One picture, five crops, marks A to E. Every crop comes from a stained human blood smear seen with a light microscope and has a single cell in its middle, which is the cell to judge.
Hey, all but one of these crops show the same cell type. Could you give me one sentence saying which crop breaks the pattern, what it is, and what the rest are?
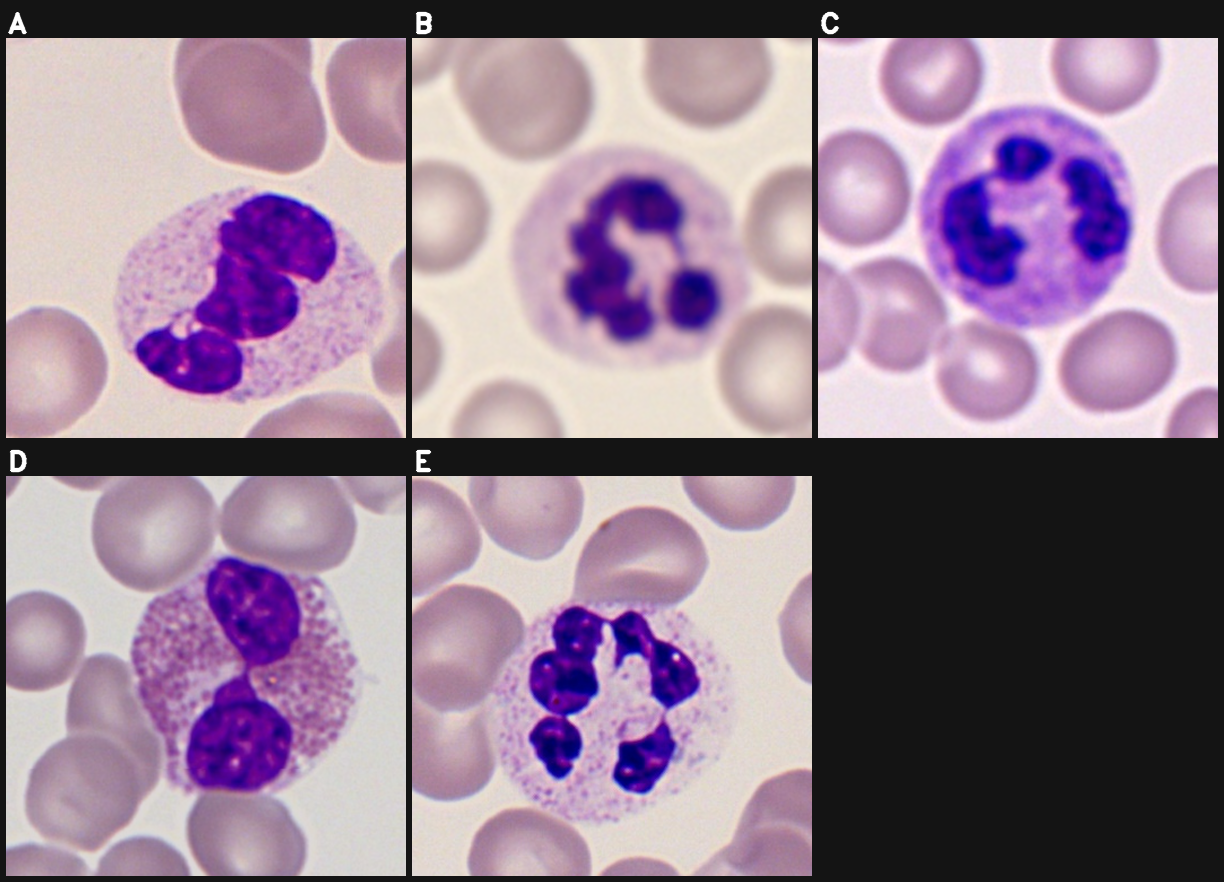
Unlike the rest, which all show segmented neutrophils, crop D contains an eosinophil.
